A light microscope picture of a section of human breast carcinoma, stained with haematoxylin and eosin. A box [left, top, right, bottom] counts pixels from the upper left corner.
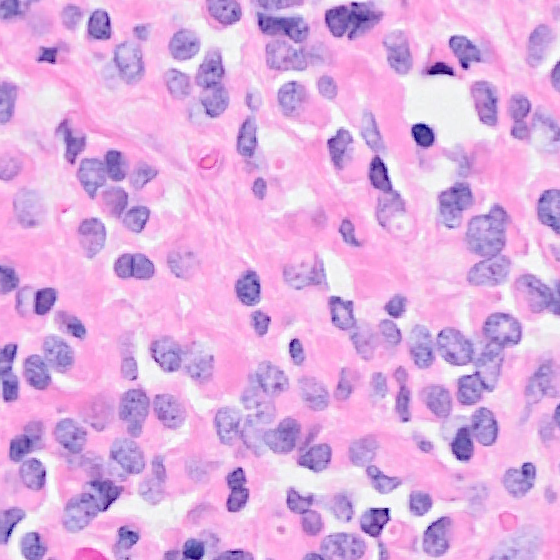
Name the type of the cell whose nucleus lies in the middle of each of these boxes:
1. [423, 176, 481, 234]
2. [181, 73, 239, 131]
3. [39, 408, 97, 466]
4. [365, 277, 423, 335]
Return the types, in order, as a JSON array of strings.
["carcinoma cell", "carcinoma cell", "carcinoma cell", "lymphocyte"]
